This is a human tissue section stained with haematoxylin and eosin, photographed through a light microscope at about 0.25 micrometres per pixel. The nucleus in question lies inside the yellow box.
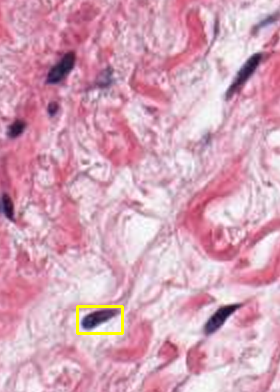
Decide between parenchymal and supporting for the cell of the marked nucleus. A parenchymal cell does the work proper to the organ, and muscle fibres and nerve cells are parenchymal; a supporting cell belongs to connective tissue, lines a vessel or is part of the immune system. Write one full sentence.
The marked nucleus belongs to a supporting cell.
